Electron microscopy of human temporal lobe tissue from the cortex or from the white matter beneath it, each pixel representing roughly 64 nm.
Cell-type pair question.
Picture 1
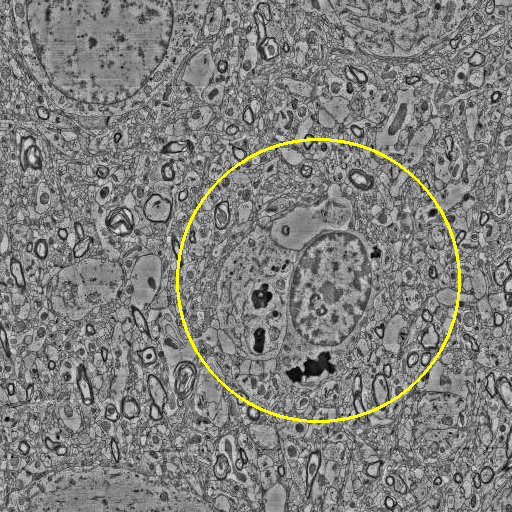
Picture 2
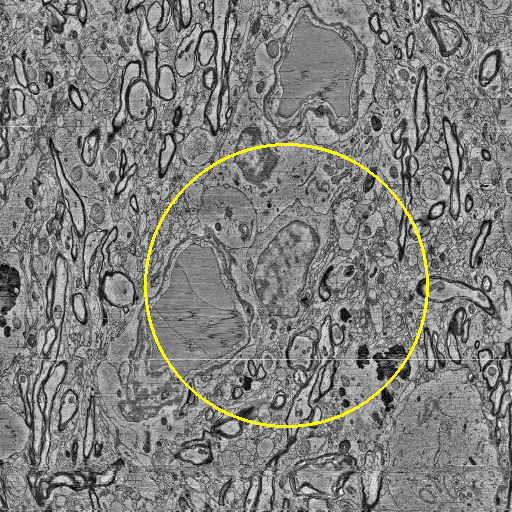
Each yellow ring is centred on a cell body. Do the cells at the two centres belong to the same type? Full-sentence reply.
Yes, the two cells belong to the same type.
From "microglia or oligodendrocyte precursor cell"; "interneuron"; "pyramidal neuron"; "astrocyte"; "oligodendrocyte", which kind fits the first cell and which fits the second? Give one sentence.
Each of the two rings is centred on an oligodendrocyte.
